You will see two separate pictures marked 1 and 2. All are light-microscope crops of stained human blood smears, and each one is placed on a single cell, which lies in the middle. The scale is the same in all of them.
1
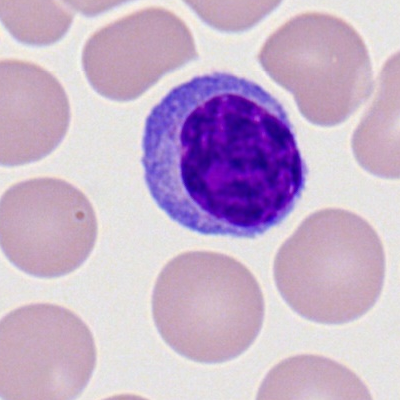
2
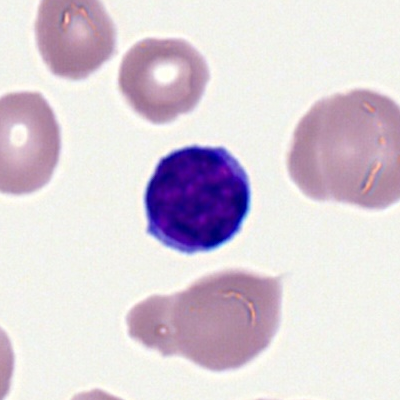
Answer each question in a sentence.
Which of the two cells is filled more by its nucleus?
In crop 2 the nucleus takes up the larger part of its cell.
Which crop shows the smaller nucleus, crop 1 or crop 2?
The nucleus in crop 2 is smaller; the one in crop 1 has about 1.5 times its area.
